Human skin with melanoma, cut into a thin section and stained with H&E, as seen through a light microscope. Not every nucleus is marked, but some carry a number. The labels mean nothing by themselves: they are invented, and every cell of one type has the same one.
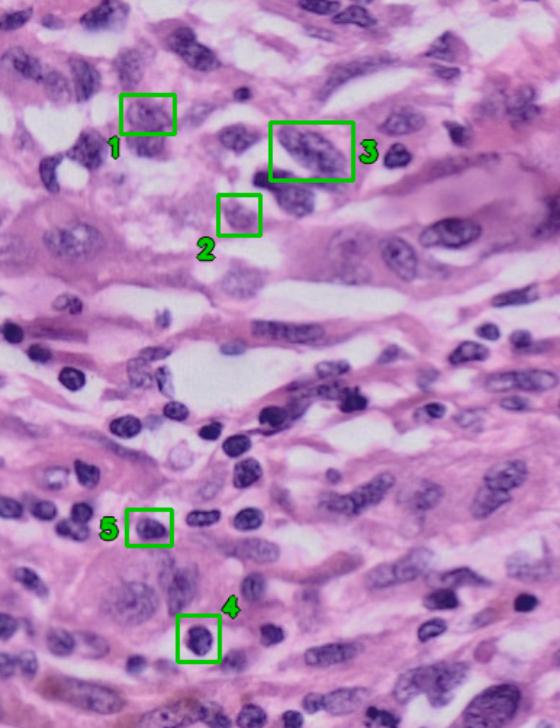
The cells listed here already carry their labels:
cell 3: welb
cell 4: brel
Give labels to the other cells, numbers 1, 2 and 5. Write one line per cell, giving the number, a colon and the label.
1: welb
2: welb
5: brel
